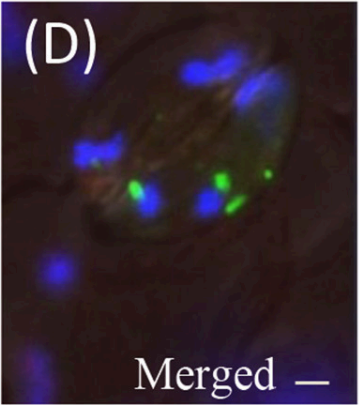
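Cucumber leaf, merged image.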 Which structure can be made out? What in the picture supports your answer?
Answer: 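An oval outline made of two curved cells sits in the center. Bright green dots and blue bodies lie within and around the oval. On this evidence: stomata.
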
